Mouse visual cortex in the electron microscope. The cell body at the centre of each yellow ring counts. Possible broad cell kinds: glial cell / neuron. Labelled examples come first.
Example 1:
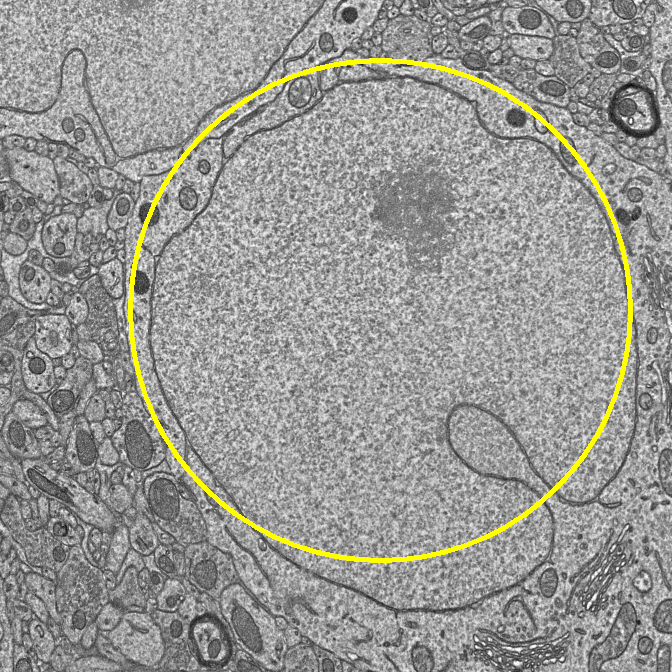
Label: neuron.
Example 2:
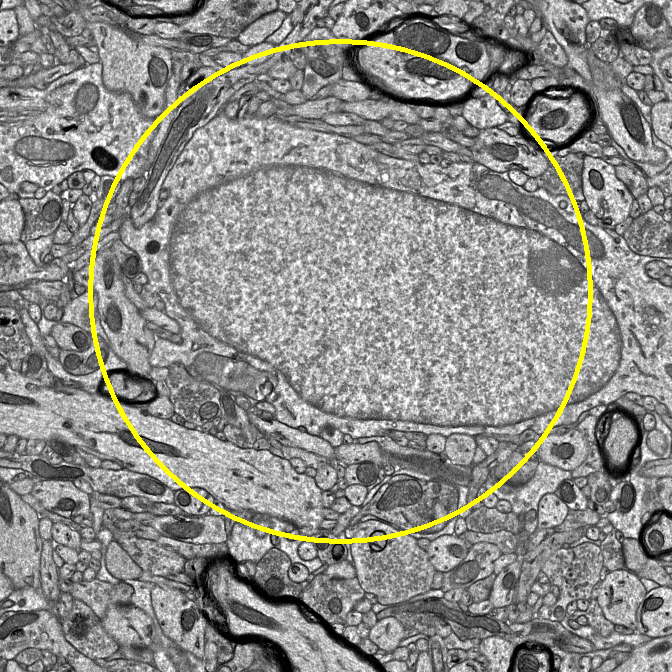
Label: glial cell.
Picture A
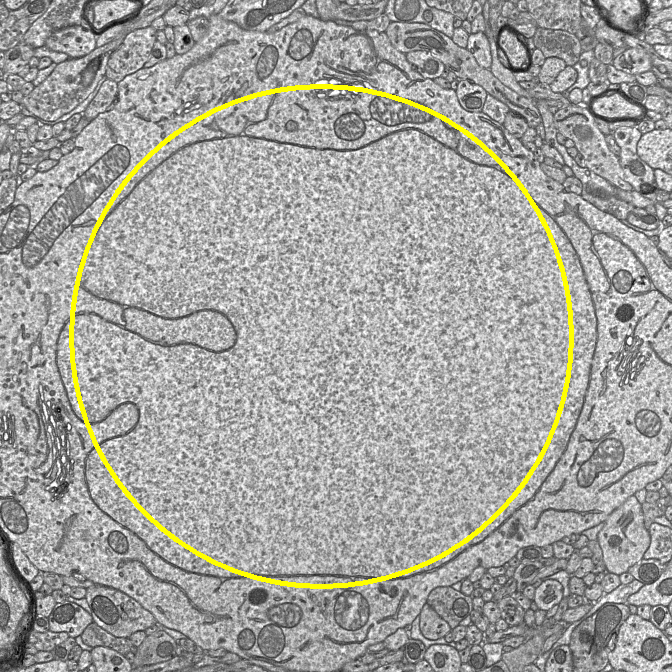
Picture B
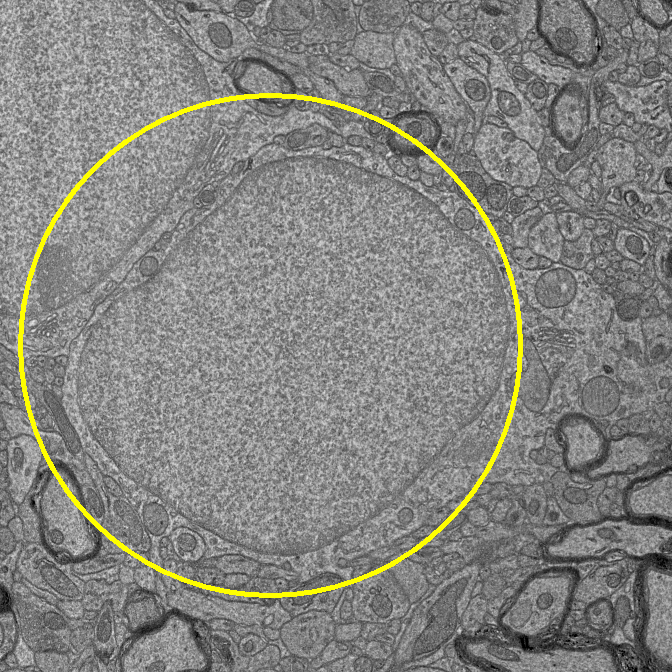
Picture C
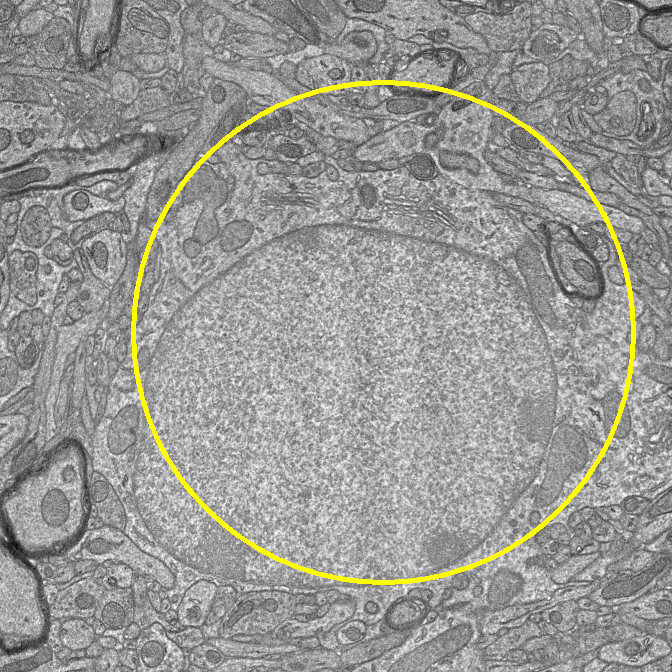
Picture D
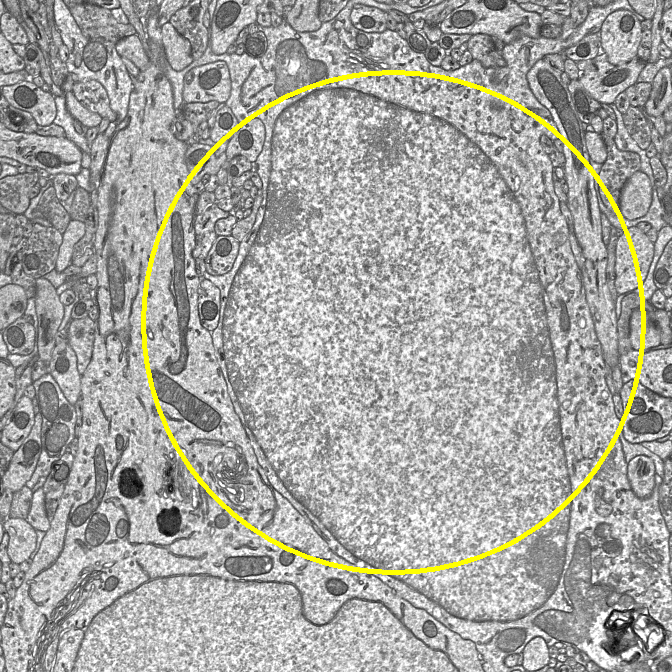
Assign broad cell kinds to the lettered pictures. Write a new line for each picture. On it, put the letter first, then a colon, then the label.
A: neuron.
B: glial cell.
C: glial cell.
D: glial cell.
